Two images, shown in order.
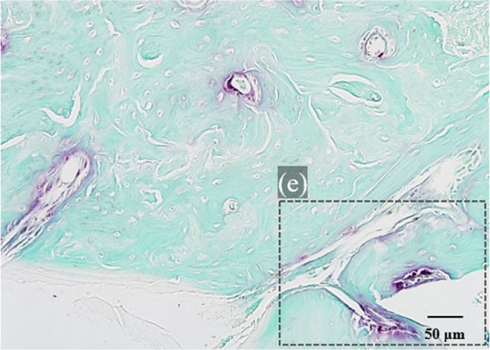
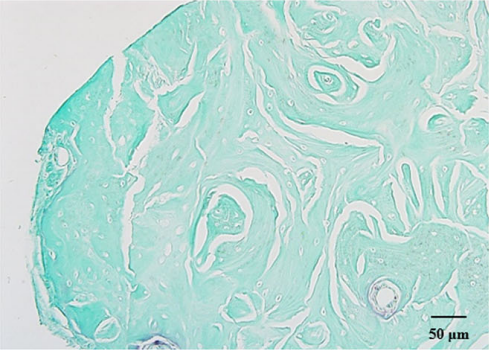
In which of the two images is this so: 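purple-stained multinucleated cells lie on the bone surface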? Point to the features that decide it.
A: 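Second image: green-stained bone with osteocyte lacunae and no purple cells on its surfaces. First image: several purple-stained cells lie along the bone edges.
Conclusion: the first image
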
